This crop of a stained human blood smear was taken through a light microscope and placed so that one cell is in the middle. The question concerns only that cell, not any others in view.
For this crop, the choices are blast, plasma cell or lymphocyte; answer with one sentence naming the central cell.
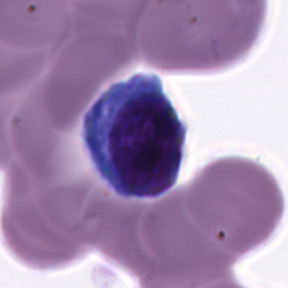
In the central position of this crop, the cell is a plasma cell.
